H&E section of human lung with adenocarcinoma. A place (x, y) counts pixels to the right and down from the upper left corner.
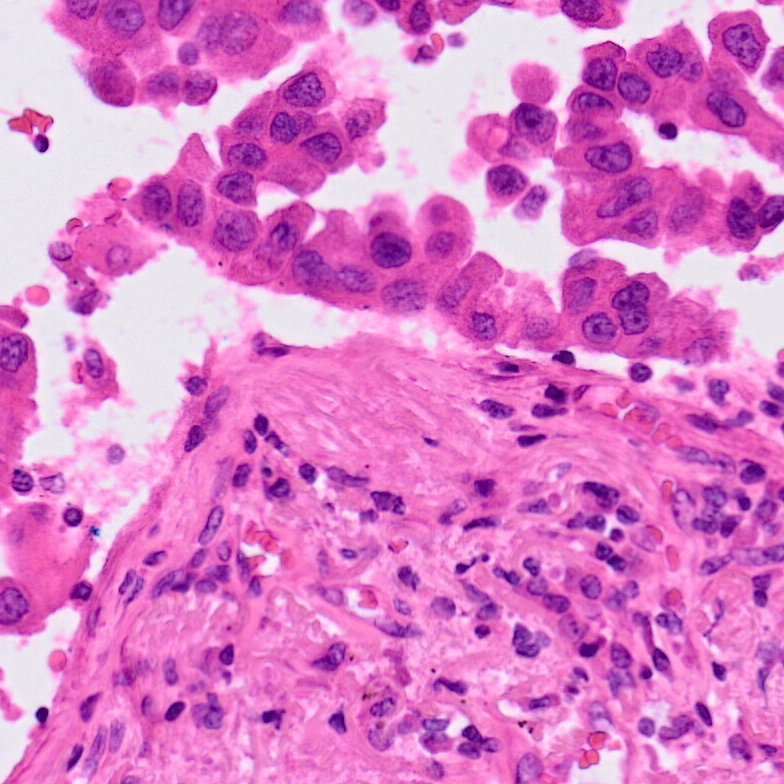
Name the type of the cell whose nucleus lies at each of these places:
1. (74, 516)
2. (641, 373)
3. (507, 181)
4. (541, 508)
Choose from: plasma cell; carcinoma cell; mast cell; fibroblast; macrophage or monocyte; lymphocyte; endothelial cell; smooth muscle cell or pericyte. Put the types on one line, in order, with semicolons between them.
lymphocyte; lymphocyte; carcinoma cell; plasma cell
